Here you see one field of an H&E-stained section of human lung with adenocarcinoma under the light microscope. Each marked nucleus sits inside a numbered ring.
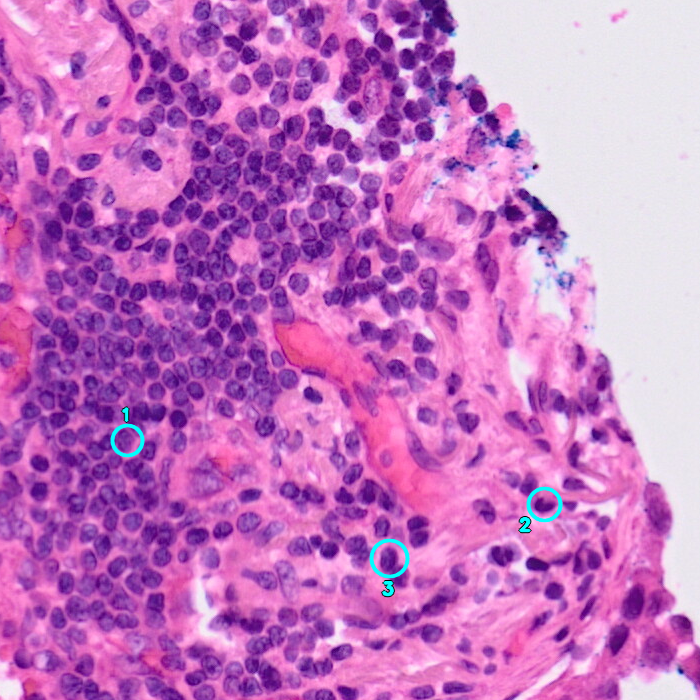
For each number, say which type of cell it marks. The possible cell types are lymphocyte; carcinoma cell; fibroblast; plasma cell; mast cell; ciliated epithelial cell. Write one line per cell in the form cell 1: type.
cell 1: lymphocyte
cell 2: plasma cell
cell 3: lymphocyte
